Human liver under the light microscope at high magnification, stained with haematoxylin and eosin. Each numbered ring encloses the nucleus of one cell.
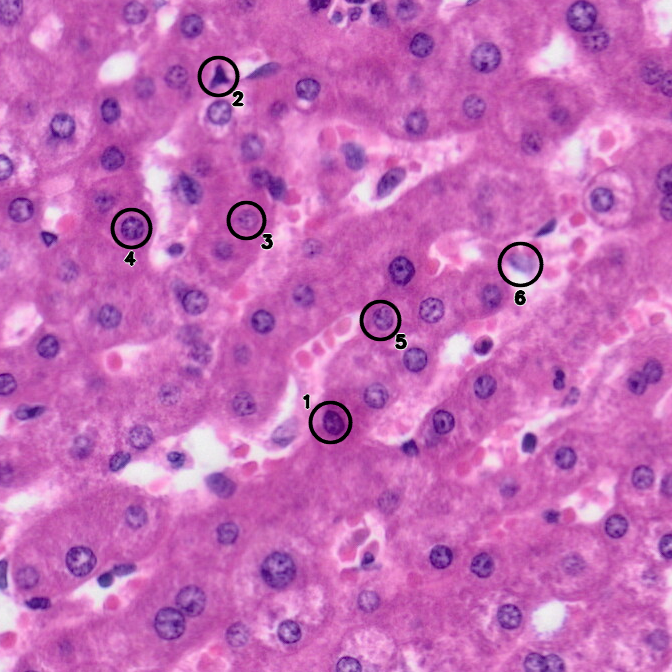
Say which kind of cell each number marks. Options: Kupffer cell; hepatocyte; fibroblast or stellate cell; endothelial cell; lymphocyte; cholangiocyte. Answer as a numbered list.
1. hepatocyte
2. fibroblast or stellate cell
3. hepatocyte
4. hepatocyte
5. hepatocyte
6. Kupffer cell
